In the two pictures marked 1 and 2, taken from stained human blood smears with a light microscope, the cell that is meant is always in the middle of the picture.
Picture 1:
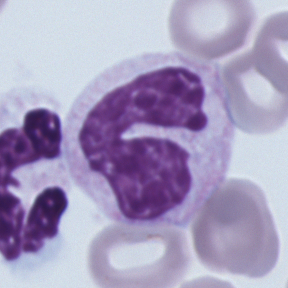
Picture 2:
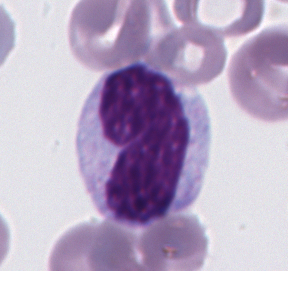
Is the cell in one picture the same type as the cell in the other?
yes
